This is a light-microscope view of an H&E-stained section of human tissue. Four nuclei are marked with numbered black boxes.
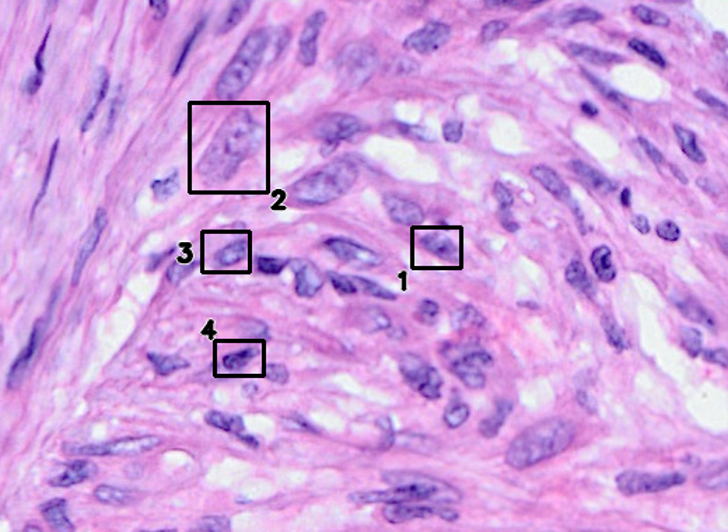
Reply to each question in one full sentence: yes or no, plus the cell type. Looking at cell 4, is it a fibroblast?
No, the cell labelled number 4 is not a fibroblast; it is a lymphocyte.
